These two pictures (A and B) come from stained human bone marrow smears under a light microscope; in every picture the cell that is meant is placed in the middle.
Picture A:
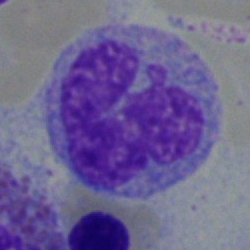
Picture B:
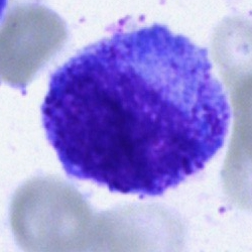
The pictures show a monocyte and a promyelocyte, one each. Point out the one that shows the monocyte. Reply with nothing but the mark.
A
